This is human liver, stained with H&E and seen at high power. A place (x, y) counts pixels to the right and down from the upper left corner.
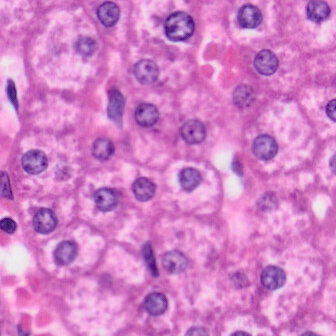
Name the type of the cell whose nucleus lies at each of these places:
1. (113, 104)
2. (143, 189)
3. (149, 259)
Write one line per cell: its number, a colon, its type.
1: Kupffer cell
2: hepatocyte
3: fibroblast or stellate cell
